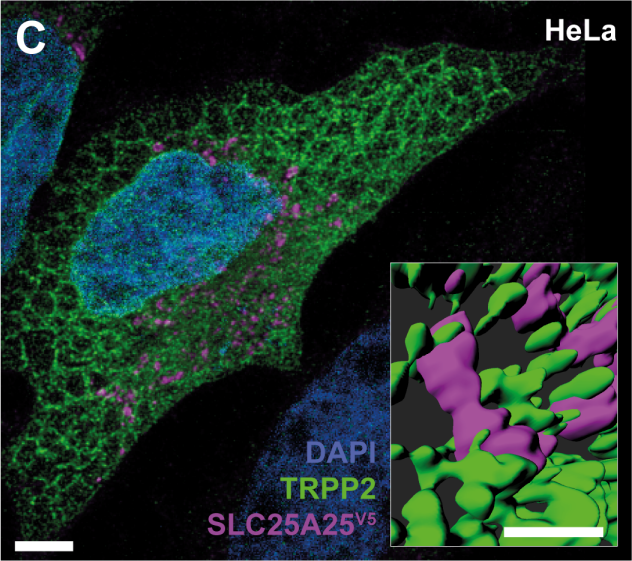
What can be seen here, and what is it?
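Magenta spots and short tubules cluster near the nucleus, lying closely beside the green network. The inset renders in three dimensions magenta bodies in close contact with green membranes.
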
